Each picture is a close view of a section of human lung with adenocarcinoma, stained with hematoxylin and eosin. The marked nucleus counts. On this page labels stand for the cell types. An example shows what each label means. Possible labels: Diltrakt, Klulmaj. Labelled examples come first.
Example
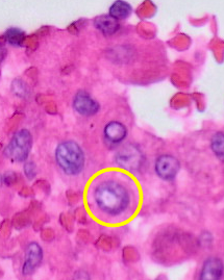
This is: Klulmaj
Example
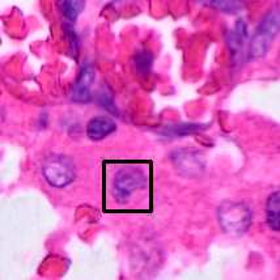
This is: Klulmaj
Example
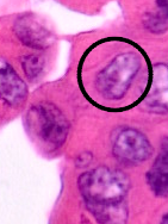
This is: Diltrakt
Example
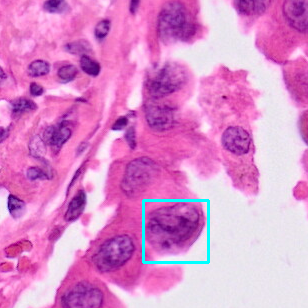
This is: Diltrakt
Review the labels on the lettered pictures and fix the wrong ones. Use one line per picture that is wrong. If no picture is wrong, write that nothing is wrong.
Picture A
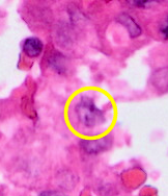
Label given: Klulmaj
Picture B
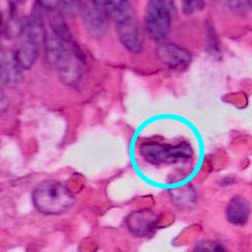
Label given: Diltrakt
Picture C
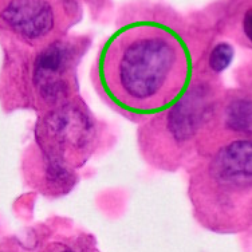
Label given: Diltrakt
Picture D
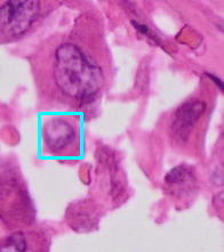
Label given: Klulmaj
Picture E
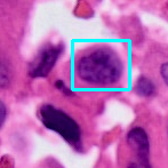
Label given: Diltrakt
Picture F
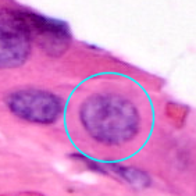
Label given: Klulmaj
B: not Diltrakt but Klulmaj
F: not Klulmaj but Diltrakt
